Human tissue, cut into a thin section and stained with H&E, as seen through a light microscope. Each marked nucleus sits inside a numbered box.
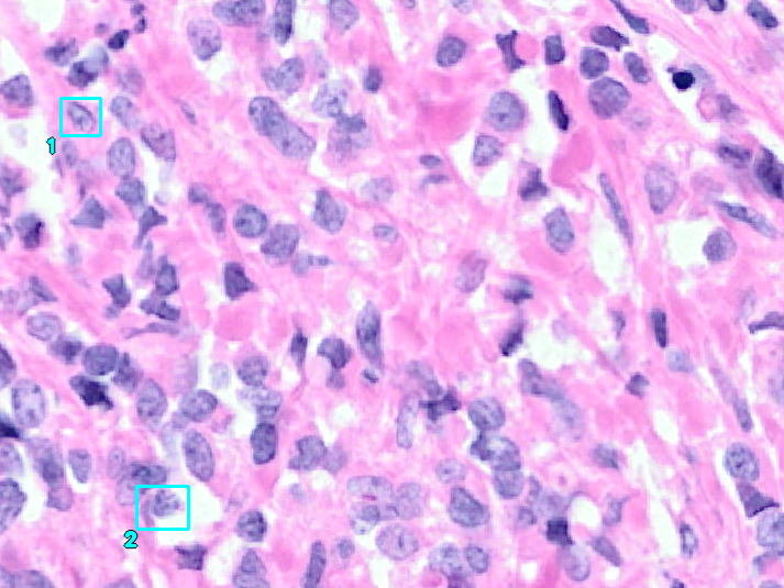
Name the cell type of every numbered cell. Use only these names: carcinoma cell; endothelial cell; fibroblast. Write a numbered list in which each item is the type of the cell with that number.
1. endothelial cell
2. carcinoma cell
